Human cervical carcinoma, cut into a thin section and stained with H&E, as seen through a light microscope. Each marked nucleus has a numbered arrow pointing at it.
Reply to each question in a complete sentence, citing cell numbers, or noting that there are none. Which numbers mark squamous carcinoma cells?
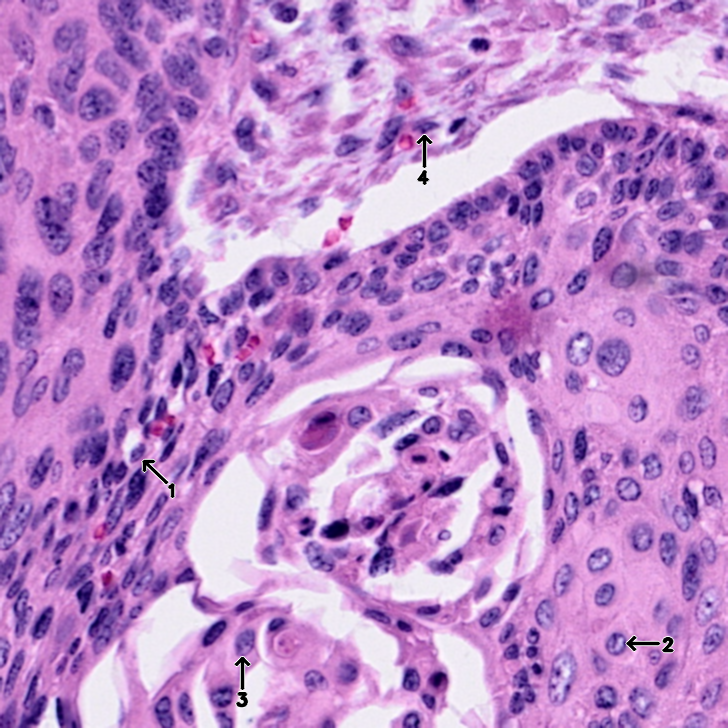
The cells tagged 1, 2 and 3 are squamous carcinoma cells in this tissue section.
